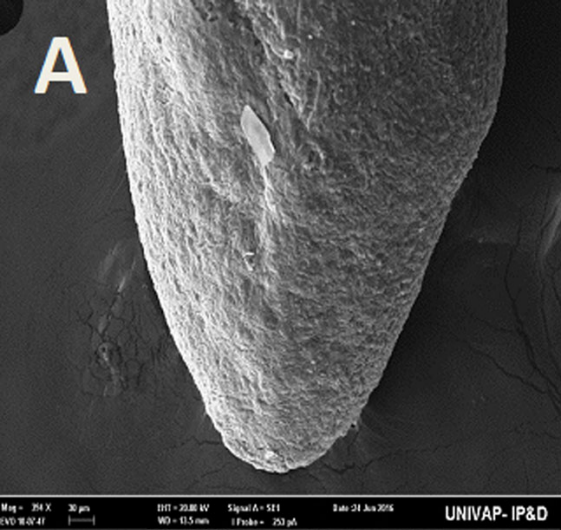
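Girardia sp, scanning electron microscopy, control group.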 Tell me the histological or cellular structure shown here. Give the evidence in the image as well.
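An elongated body narrows to a single blunt, rounded end. The whole surface of the body end is finely textured.
Conclusion: End of the posterior region (tail)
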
